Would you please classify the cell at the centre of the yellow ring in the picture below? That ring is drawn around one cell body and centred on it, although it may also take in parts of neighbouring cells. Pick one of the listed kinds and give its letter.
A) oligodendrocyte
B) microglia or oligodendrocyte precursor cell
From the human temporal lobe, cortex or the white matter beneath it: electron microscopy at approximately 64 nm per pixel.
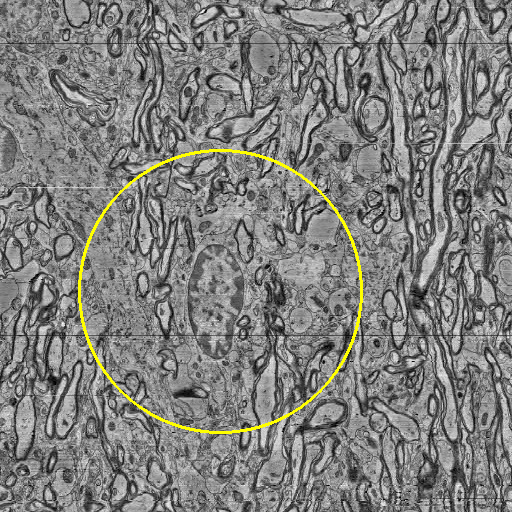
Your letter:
B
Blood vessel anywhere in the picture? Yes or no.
No, the picture includes no blood vessel.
